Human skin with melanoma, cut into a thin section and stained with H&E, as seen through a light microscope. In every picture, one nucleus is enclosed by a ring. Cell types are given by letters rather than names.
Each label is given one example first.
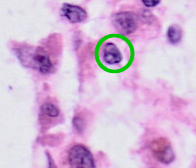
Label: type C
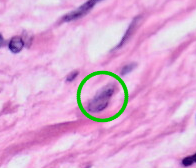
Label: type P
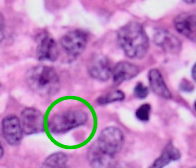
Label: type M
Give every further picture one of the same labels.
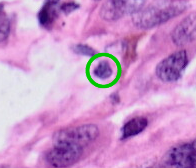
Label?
type C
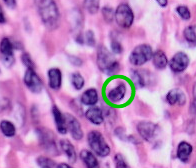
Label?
type C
